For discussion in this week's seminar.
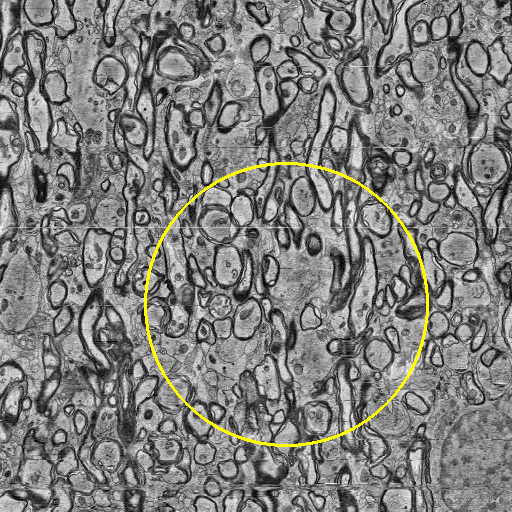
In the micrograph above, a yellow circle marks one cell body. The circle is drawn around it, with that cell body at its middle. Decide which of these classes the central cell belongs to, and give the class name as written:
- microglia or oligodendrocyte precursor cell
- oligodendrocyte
oligodendrocyte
